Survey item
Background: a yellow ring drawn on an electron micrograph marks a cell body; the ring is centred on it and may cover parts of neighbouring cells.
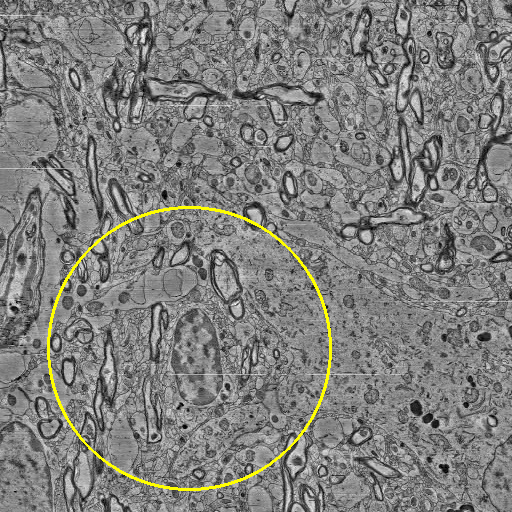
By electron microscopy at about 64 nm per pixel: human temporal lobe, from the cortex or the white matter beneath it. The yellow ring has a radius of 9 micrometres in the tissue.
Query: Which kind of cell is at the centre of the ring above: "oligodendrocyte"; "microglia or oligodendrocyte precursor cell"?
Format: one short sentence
The cell in the middle of the ring is a microglial cell or oligodendrocyte precursor cell.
